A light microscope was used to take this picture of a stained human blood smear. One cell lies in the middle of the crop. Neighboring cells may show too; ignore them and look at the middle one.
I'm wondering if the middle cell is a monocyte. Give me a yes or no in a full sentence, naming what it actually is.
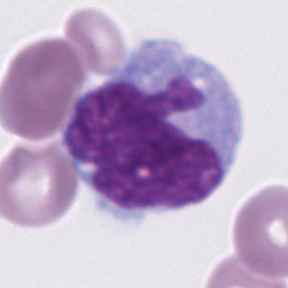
Yes, the cell centred in the field of view is a monocyte.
